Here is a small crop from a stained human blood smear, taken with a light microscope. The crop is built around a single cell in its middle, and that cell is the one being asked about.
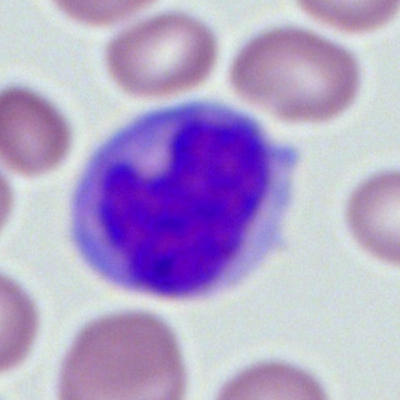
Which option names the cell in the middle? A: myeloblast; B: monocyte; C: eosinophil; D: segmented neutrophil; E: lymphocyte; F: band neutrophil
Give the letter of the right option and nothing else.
B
